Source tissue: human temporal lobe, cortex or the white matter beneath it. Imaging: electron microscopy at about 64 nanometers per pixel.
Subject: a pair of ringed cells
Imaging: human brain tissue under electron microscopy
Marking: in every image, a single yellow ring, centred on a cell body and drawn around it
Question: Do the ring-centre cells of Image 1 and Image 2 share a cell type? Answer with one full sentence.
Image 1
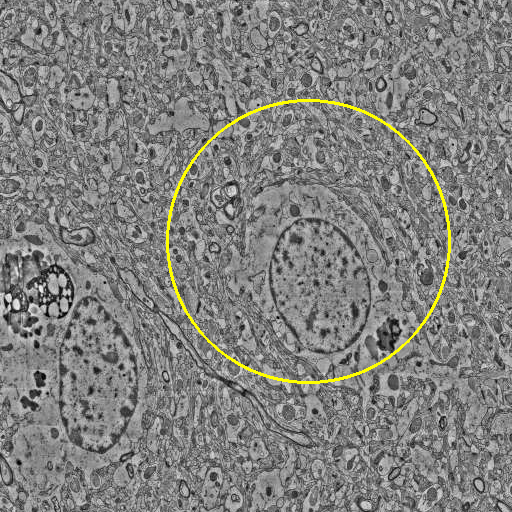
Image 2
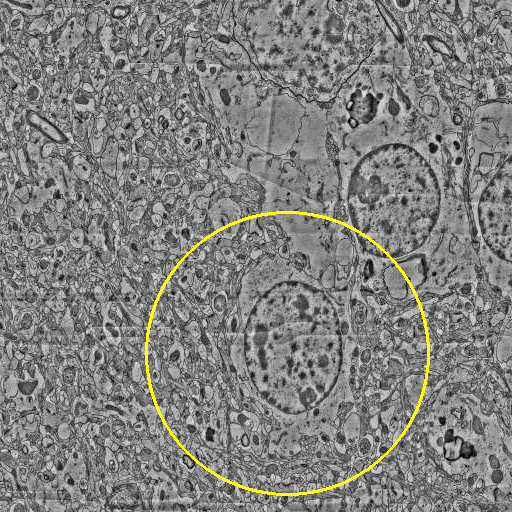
Yes, at each ring's centre in the images sits a cell of one common type.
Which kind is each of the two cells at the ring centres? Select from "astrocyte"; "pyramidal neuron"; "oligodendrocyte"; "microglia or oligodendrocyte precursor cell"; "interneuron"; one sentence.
The cell in the first picture is an astrocyte, and so is the one in the second.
